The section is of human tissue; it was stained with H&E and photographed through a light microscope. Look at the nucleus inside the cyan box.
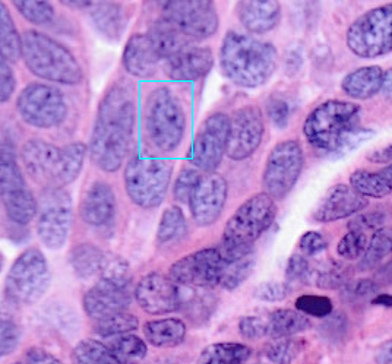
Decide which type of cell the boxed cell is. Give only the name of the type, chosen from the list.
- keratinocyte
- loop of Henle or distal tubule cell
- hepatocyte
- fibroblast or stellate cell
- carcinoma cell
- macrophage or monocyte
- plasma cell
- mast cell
carcinoma cell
